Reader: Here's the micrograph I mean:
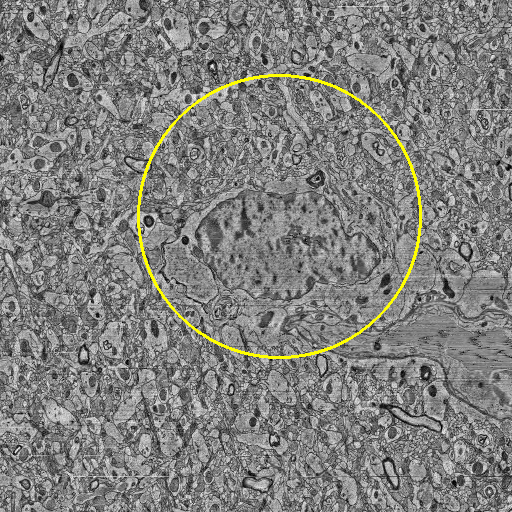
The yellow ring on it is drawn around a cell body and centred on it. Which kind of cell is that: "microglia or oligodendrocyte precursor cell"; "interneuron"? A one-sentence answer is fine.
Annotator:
The ring is centred on a microglial cell or oligodendrocyte precursor cell.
